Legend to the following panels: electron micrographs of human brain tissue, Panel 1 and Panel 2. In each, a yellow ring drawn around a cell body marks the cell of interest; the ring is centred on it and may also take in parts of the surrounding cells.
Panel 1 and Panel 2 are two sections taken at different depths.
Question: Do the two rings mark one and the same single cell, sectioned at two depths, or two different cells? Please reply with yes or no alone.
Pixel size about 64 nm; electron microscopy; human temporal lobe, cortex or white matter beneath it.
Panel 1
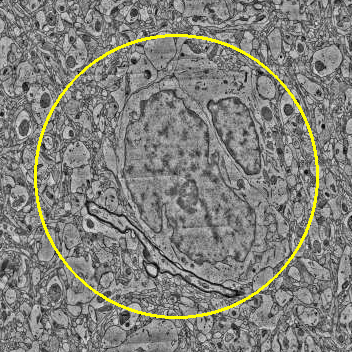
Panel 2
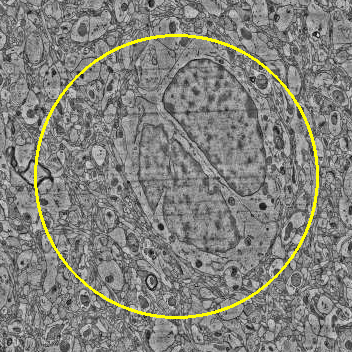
yes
